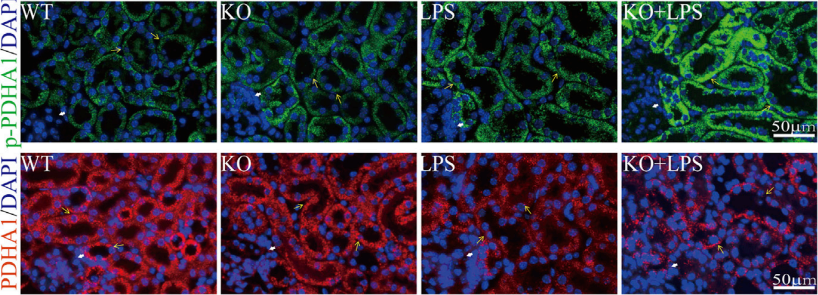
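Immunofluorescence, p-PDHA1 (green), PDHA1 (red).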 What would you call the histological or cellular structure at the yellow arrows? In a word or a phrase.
renal tubules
